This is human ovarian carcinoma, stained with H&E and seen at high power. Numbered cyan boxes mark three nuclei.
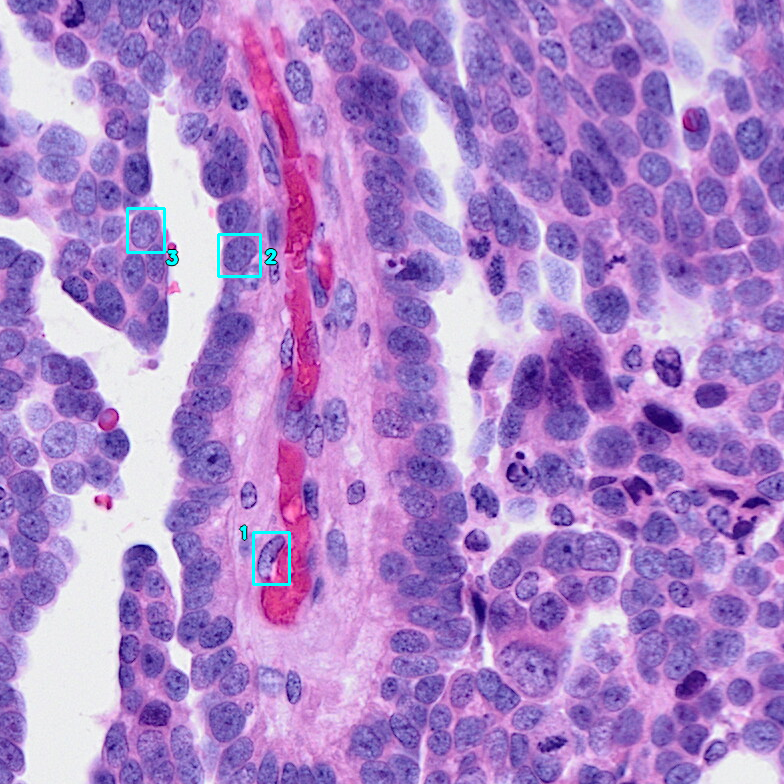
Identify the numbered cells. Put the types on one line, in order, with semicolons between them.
endothelial cell; carcinoma cell; carcinoma cell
